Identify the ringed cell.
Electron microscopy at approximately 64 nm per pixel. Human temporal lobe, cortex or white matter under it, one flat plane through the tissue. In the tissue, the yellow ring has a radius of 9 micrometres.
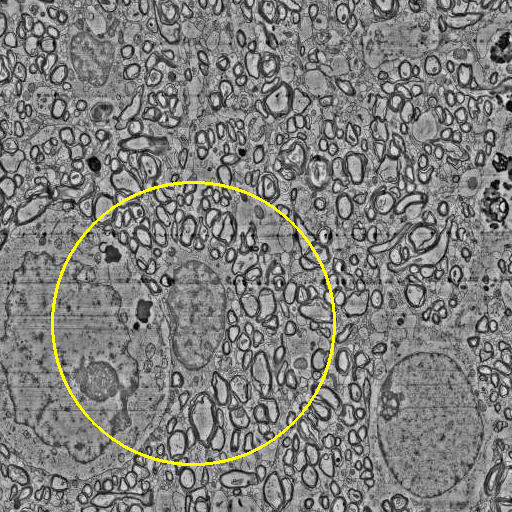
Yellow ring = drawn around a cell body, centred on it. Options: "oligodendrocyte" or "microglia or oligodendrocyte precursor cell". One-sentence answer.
What the ring is centred on is an oligodendrocyte.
